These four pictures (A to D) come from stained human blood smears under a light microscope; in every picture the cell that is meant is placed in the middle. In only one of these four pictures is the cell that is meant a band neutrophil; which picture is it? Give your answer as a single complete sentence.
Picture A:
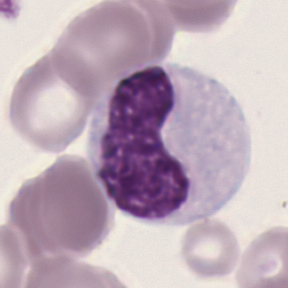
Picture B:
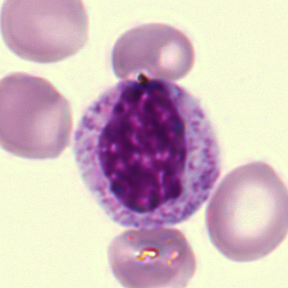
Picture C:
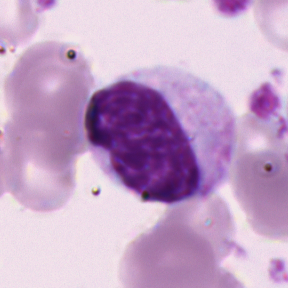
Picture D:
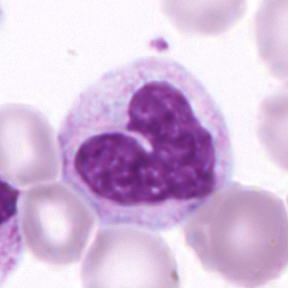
The picture with the band neutrophil is D.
